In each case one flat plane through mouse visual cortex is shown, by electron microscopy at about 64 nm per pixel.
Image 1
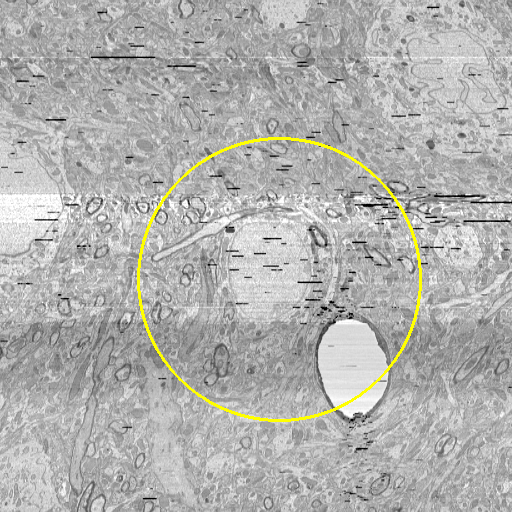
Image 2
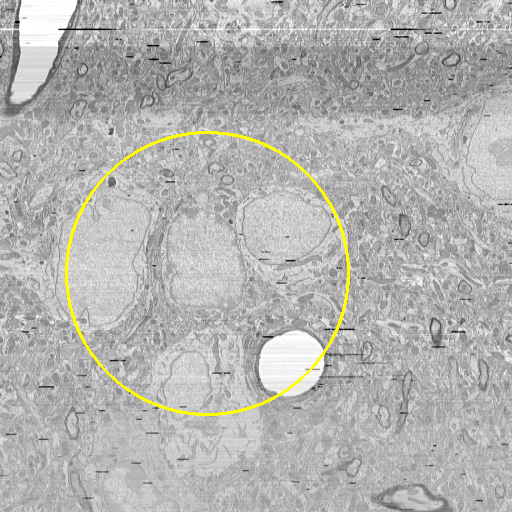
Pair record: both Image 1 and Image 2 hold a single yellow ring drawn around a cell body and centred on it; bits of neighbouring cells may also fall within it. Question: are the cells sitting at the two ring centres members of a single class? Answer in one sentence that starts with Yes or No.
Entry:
Yes, both ring-centre cells in Image 1 and Image 2 are members of one class.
